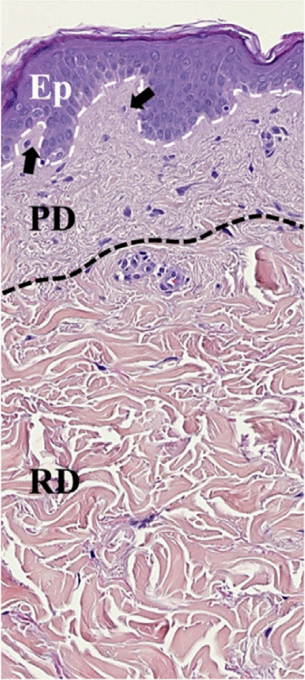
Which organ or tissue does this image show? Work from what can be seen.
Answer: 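A stratified, densely nucleated purple layer lies at the top with a thin pink surface layer. Below lies pale fibrous connective tissue with sparse nuclei. The deep part has coarse, wavy pink collagen bundles. That points to this answer: skin.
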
